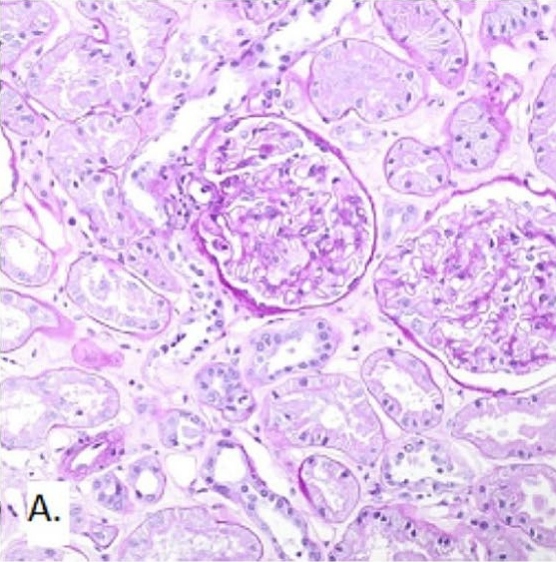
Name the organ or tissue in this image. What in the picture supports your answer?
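Glomeruli. Two round tufts of looping capillaries sit within a thin capsule. The tufts are surrounded by cross-sectioned tubules.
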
